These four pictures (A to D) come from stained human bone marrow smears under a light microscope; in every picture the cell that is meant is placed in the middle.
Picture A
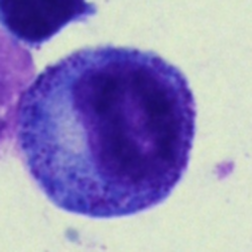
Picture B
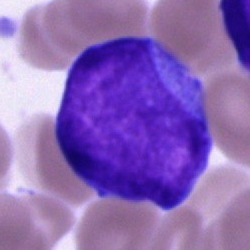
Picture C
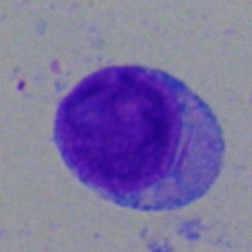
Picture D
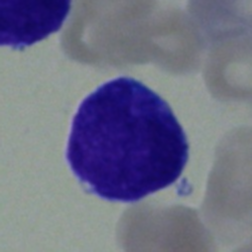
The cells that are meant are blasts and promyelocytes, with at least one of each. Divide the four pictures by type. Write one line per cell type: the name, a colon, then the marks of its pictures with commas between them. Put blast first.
blast: B, C, D
promyelocyte: A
